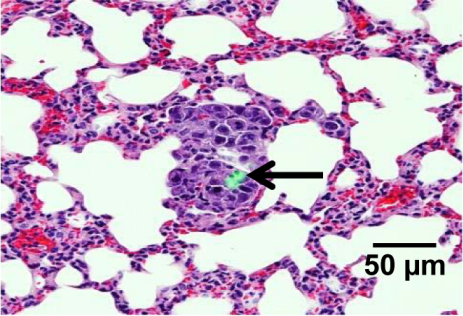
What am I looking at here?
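Lung tissue shows thin, pink-and-purple alveolar walls enclosing many open air spaces, with red blood cells scattered in the septa. In the center, a compact rounded nodule of tumor cells is crowded with larger, paler purple nuclei, standing out from the thin septa around it. A small bright green cell, pointed out by a black arrow, lies within this nodule of tumor cells.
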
